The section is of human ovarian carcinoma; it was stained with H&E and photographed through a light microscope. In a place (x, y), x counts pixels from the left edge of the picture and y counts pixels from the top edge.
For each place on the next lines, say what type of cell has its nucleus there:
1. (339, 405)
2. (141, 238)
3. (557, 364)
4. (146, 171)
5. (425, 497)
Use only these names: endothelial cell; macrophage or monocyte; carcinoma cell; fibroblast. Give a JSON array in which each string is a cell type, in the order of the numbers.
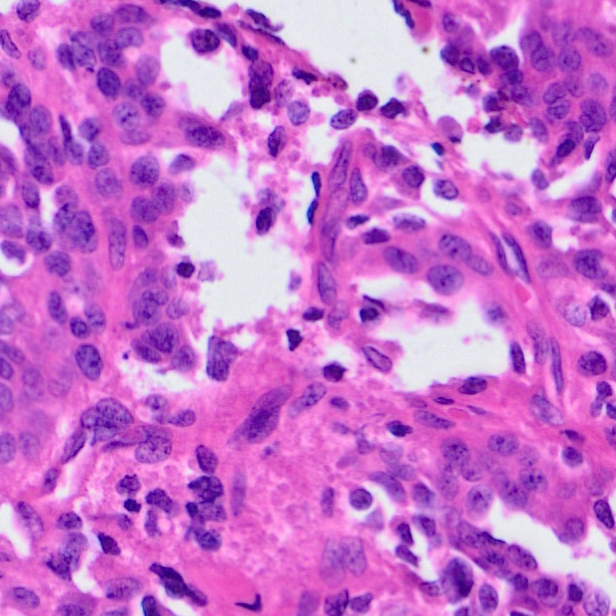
["macrophage or monocyte", "carcinoma cell", "endothelial cell", "carcinoma cell", "carcinoma cell"]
